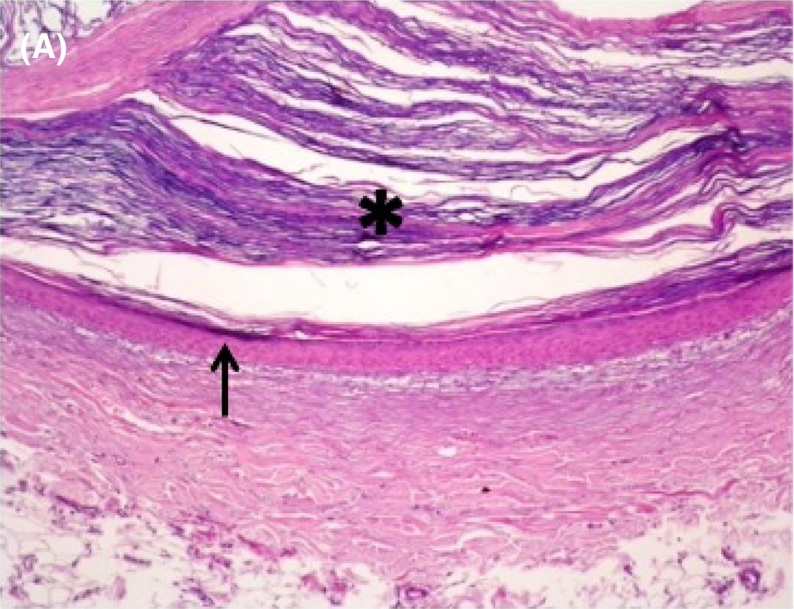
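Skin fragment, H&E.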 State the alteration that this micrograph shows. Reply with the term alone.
Epidermal inclusion cyst.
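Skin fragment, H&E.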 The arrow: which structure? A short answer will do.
Granular layer.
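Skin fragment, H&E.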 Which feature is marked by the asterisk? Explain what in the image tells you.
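The asterisk lies on wavy, thin, stacked layers of purple and pink material without nuclei. The layers are separated by clear splits and fill the space above the lining. So: lamellated keratin material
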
